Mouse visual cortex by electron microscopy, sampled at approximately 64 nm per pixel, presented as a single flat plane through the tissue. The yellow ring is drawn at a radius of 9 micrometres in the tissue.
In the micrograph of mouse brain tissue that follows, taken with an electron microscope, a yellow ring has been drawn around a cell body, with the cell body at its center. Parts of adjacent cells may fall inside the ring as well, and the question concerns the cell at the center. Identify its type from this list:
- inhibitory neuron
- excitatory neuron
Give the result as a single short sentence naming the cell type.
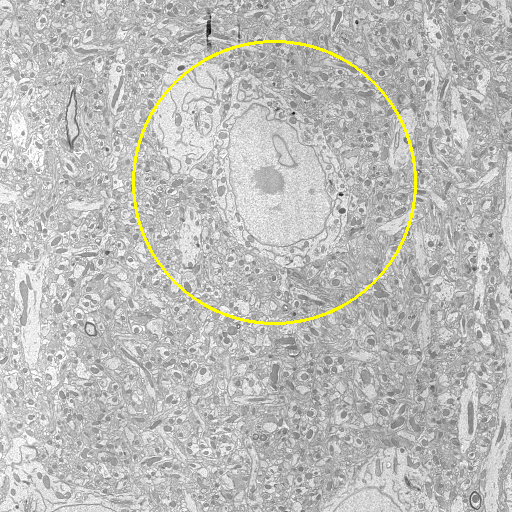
The ring is centered on an inhibitory neuron.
